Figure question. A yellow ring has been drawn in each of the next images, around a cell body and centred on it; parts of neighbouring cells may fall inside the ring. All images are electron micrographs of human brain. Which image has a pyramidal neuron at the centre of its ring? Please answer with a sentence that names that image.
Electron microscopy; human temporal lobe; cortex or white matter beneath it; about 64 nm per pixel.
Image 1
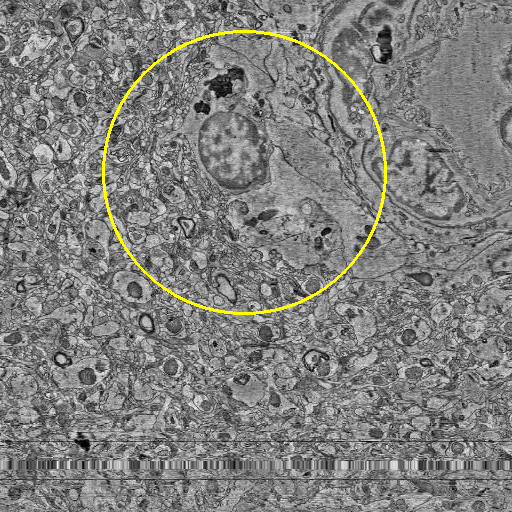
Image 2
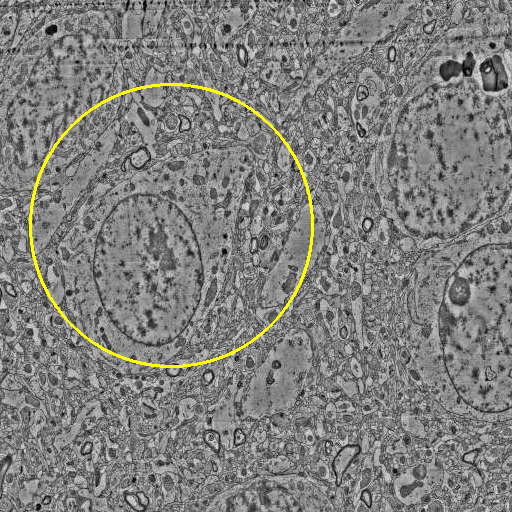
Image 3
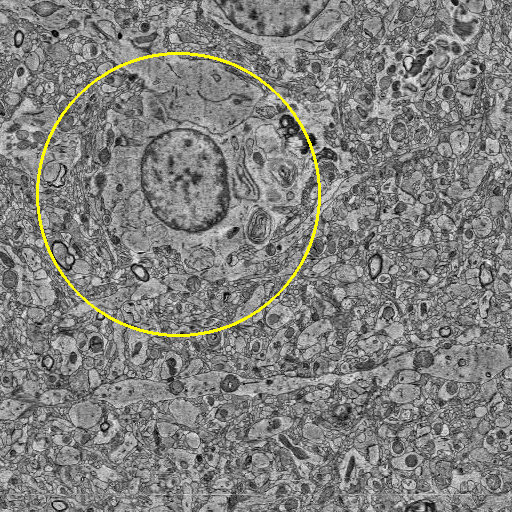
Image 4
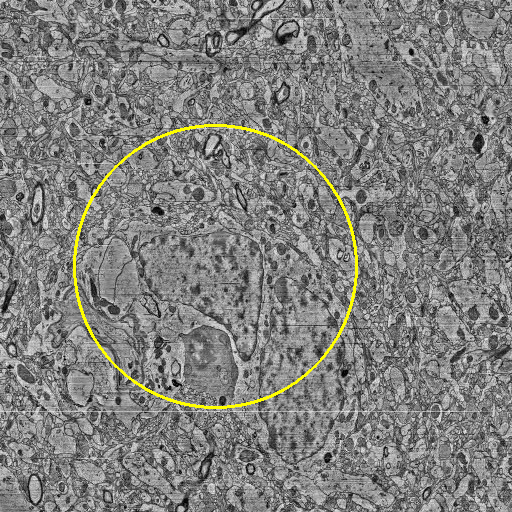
The cell at the centre of the ring in Image 2 is of that kind.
